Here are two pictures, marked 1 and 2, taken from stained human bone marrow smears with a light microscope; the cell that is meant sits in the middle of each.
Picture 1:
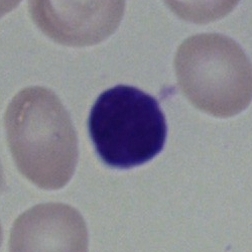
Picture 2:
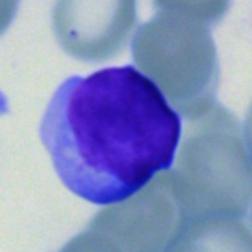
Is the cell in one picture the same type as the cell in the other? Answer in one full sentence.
Yes, both are lymphocytes.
